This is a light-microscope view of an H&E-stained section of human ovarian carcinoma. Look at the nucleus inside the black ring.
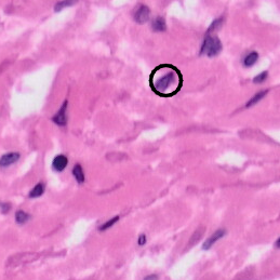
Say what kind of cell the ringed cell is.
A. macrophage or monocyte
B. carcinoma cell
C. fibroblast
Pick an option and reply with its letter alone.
C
